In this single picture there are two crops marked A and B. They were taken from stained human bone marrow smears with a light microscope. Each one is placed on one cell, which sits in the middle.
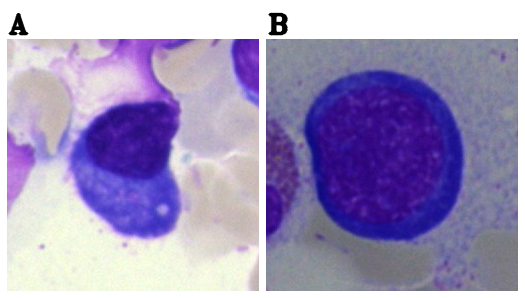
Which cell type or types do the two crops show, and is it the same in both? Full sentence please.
No, crop A contains a plasma cell, and crop B contains a proerythroblast.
